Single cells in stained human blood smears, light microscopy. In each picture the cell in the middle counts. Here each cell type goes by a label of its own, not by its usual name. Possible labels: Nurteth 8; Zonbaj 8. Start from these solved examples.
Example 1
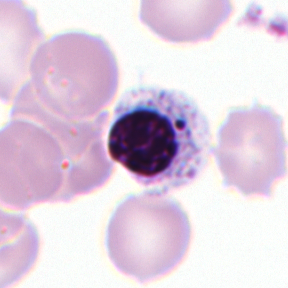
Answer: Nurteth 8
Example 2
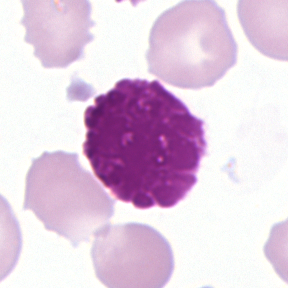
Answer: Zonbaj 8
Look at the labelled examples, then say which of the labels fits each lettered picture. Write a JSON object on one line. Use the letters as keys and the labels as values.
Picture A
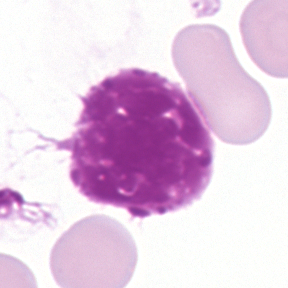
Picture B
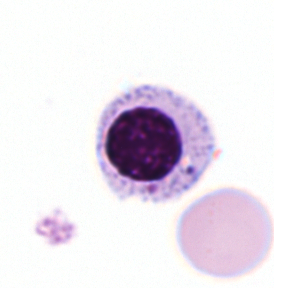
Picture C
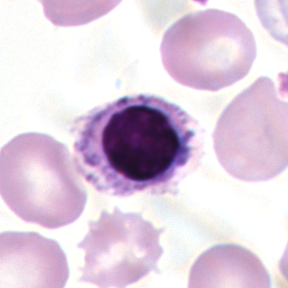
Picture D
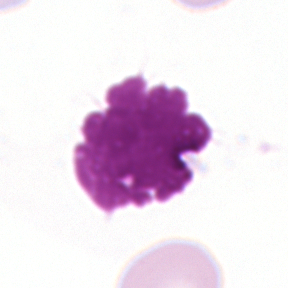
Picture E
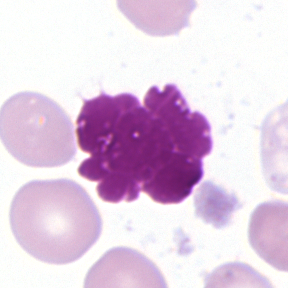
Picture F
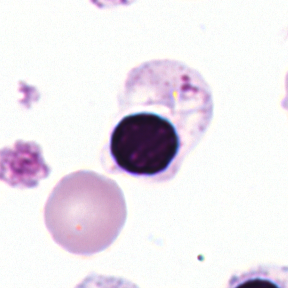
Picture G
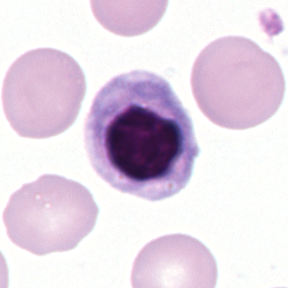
{"A": "Zonbaj 8", "B": "Nurteth 8", "C": "Nurteth 8", "D": "Zonbaj 8", "E": "Zonbaj 8", "F": "Nurteth 8", "G": "Nurteth 8"}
